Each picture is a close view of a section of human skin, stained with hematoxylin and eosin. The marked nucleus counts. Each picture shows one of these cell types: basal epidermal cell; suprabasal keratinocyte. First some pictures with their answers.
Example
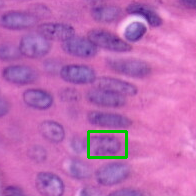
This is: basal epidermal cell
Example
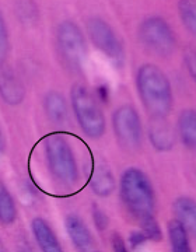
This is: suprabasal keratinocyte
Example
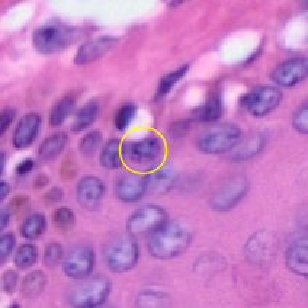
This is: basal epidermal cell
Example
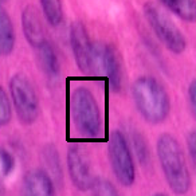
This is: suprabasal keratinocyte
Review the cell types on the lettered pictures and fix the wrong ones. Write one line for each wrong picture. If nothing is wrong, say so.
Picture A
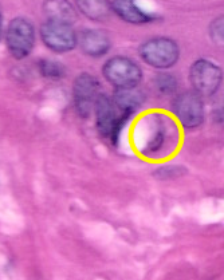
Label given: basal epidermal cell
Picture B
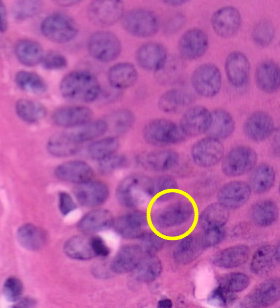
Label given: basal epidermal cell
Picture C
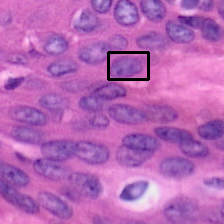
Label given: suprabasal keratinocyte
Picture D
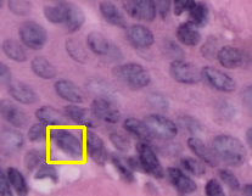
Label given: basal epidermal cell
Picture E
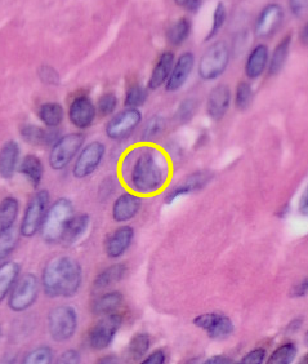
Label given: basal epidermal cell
Wrong: C (suprabasal keratinocyte); correct: basal epidermal cell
